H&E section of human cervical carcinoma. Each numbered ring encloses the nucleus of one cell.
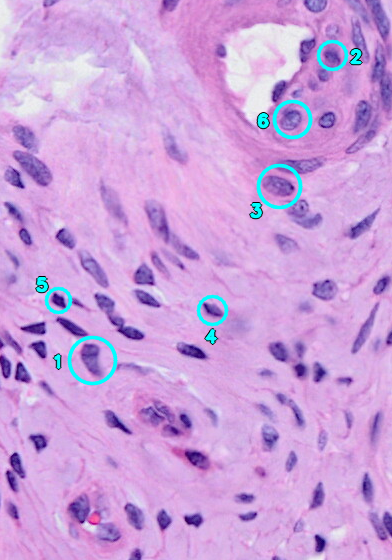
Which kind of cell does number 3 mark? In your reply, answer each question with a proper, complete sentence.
Identified as a smooth muscle cell is the cell bearing the number 3.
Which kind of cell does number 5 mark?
Belonging to a fibroblast is the nucleus that carries the number 5.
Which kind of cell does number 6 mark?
Cell number 6 in this section is a smooth muscle cell.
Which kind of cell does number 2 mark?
The cell numbered 2 has been identified as a smooth muscle cell.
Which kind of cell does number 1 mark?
Regarding cell 1, this one is a fibroblast.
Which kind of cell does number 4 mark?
The cell identified by the number 4 is a fibroblast.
